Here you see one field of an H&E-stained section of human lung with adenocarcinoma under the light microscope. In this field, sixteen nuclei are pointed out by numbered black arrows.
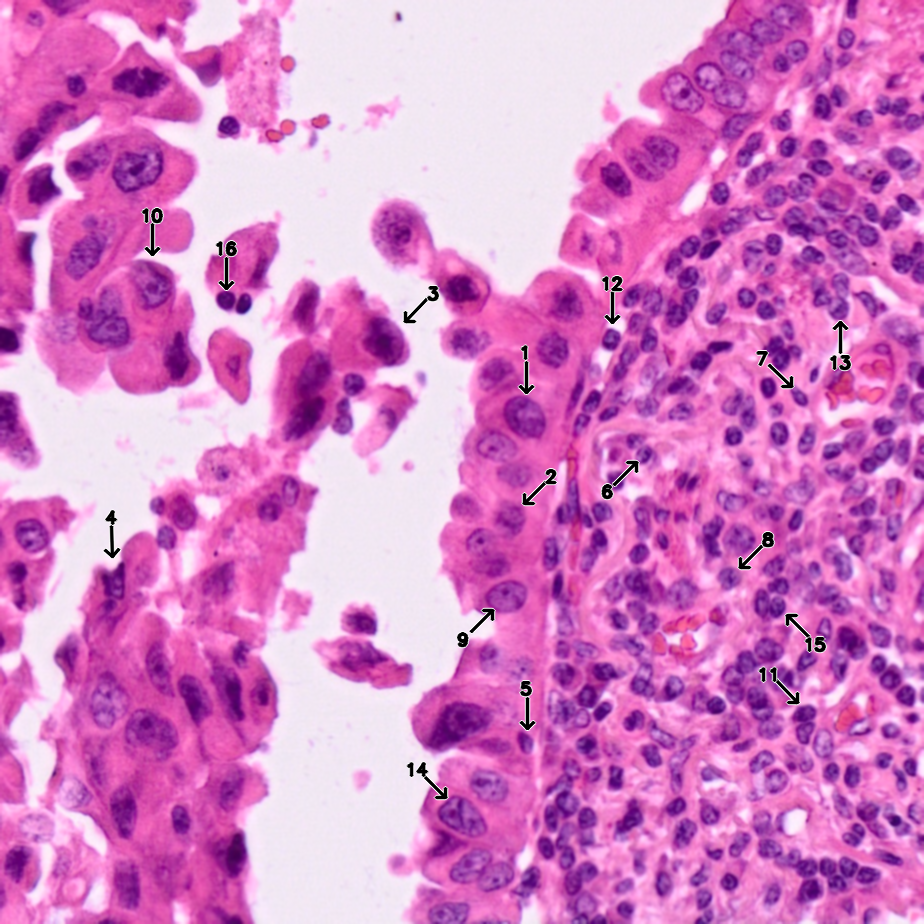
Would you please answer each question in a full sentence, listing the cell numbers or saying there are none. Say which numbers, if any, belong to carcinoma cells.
Cells 1, 2, 3, 4, 9, 10 and 14 share one type; they are carcinoma cells.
